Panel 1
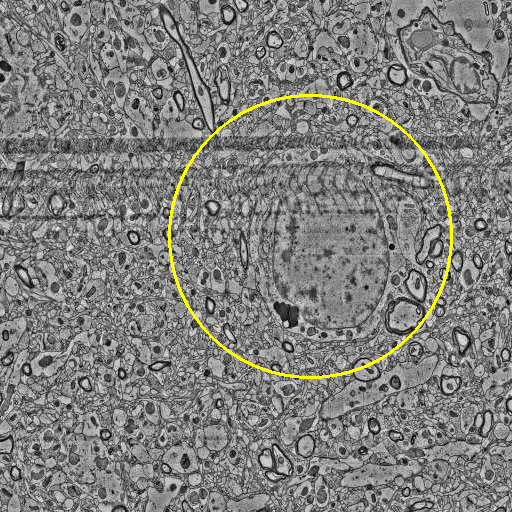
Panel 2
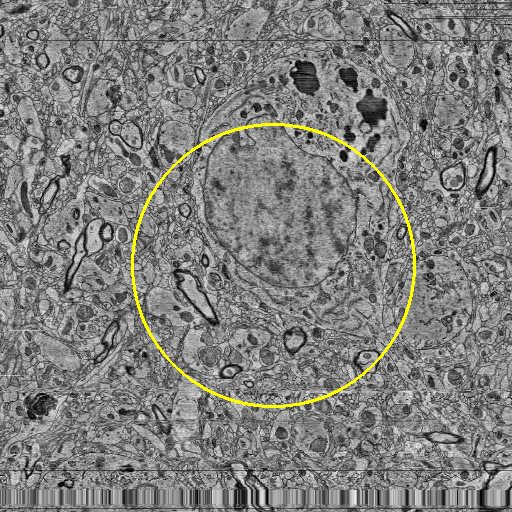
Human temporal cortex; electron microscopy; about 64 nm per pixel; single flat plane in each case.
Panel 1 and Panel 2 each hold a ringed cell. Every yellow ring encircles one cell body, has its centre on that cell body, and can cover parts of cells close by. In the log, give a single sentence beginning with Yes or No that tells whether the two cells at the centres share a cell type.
Yes, in Panel 1 and Panel 2 the centred cells share a cell type.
